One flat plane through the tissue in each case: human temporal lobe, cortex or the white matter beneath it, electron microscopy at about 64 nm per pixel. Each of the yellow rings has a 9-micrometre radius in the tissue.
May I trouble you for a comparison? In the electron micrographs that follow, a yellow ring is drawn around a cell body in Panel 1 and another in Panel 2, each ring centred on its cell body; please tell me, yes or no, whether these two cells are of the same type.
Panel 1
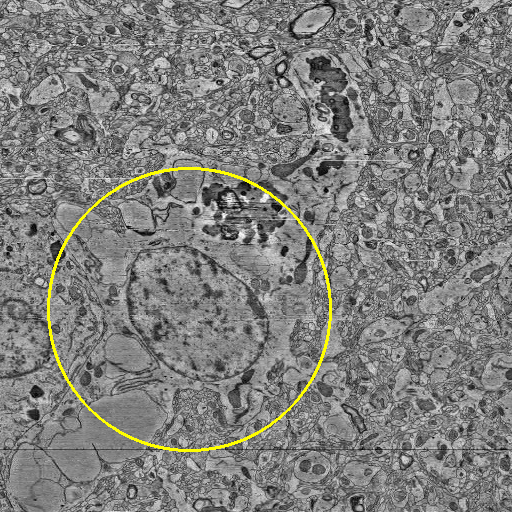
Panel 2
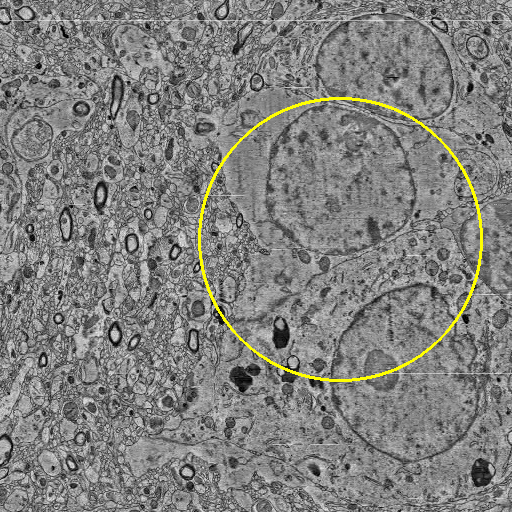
yes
